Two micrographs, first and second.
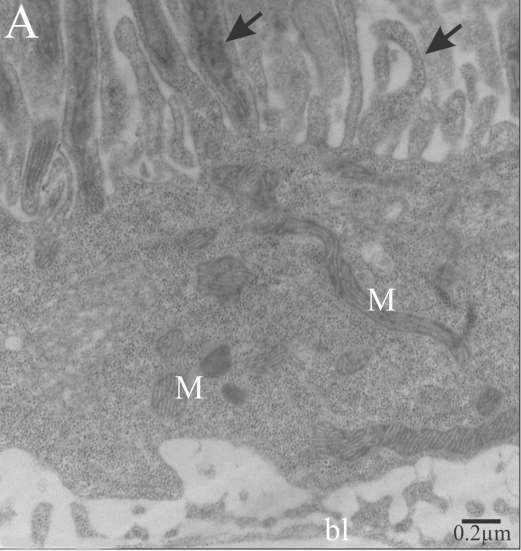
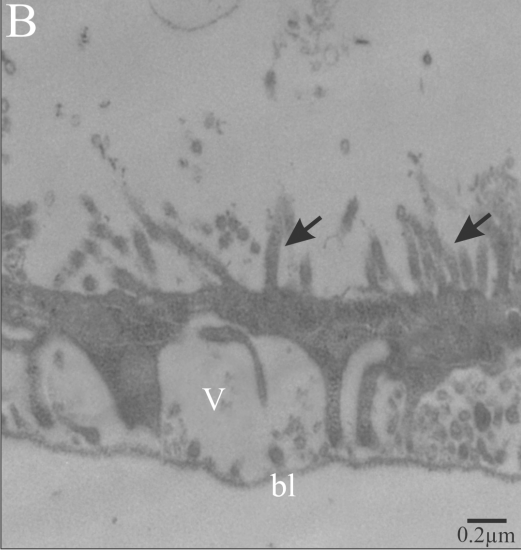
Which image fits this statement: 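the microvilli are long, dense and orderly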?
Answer: the first image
